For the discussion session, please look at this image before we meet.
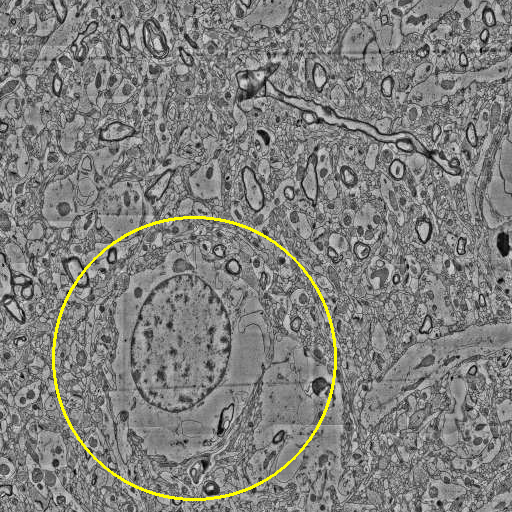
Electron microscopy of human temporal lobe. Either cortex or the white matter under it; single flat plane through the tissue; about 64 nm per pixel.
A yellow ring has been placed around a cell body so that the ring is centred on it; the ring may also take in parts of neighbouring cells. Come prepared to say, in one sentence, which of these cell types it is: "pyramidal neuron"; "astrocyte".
The cell centred in the ring is an astrocyte.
